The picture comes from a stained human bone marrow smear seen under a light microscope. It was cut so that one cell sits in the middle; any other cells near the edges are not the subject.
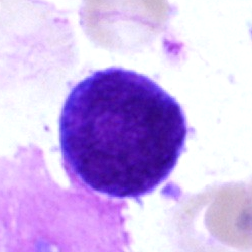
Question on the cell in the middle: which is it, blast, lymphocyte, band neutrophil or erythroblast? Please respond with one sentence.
The cell at the central position in this crop is a blast.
